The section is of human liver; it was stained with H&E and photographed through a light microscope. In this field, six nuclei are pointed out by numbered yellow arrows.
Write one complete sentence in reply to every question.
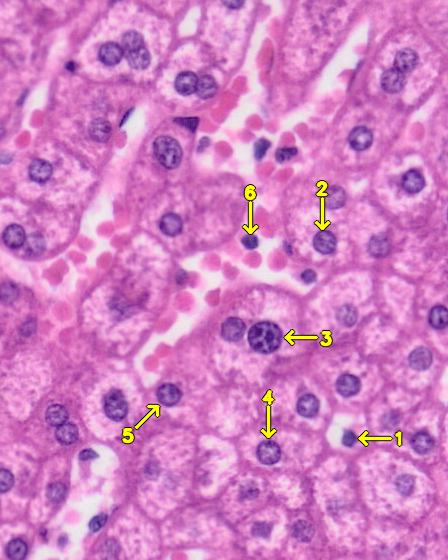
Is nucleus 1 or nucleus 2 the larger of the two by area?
Number 2 is larger; its area is about 2 times that of number 1.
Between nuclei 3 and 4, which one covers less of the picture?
Number 4 is smaller, since number 3 takes up about 1.5 times as much area.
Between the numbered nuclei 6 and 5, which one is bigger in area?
The larger nucleus is 5, at roughly 1.5 times the area of 6.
